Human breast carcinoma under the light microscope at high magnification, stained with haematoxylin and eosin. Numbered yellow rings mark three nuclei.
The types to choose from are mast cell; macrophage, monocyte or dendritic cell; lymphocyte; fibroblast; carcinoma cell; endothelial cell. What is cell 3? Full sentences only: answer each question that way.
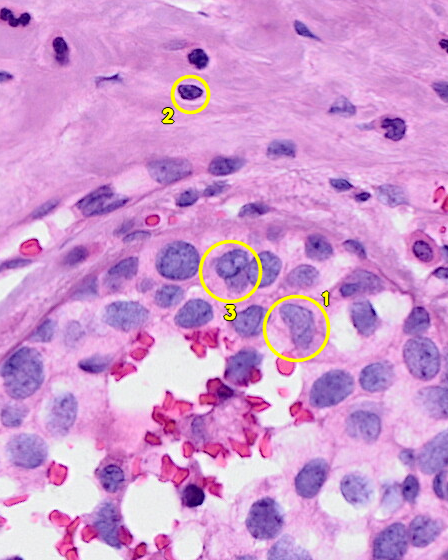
Looking at the numbered marks, cell 3 is a carcinoma cell.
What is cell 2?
Cell 2 in the field is a lymphocyte.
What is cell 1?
The cell that carries the label 1 is a carcinoma cell.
